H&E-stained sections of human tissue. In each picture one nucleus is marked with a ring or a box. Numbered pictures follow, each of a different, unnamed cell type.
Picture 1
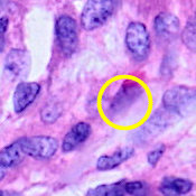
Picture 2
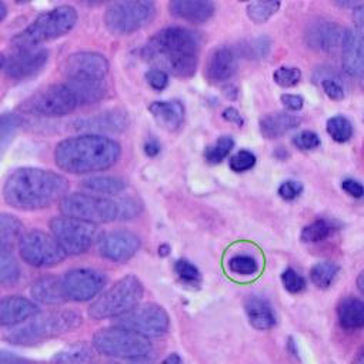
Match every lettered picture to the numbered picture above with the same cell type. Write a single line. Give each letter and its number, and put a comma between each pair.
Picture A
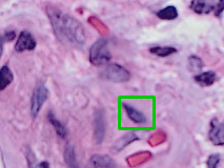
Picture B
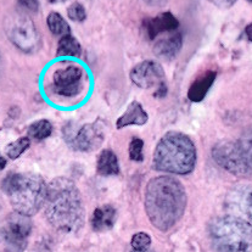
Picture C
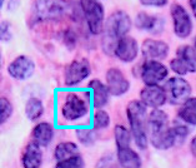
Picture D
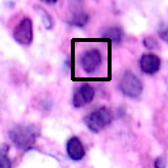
A 1, B 2, C 2, D 2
